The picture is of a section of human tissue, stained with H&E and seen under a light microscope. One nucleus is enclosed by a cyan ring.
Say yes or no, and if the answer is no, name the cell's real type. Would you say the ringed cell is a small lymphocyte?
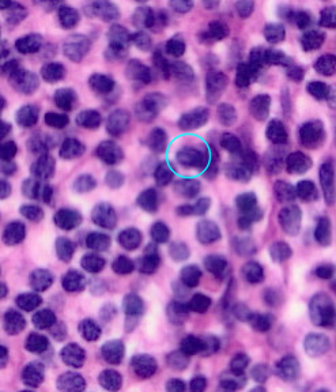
Yes.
